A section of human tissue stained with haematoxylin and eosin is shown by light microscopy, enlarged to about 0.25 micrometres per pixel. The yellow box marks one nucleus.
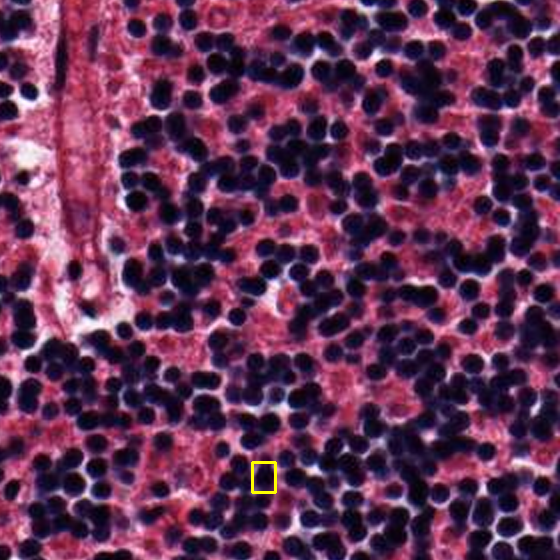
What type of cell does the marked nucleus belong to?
cerebellar granule cell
